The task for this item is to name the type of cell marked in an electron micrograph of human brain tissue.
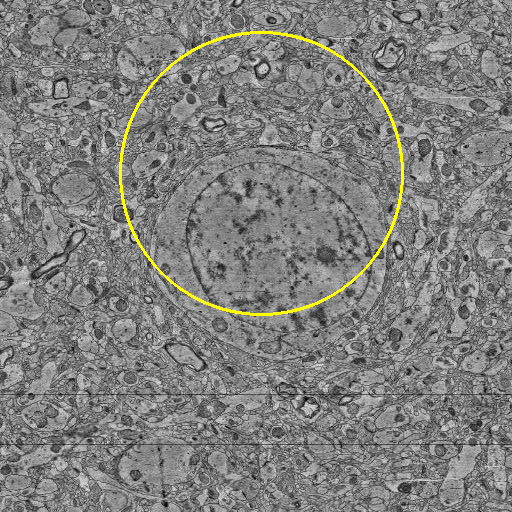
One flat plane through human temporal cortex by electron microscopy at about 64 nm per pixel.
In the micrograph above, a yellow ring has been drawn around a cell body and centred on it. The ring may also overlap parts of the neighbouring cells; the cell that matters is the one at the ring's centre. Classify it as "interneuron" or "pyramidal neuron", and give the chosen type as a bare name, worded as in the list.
pyramidal neuron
